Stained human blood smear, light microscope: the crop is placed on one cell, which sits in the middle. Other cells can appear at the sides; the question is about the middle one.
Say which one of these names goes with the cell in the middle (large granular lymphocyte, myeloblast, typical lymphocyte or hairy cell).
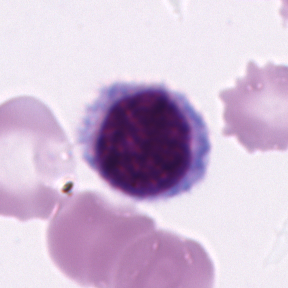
hairy cell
